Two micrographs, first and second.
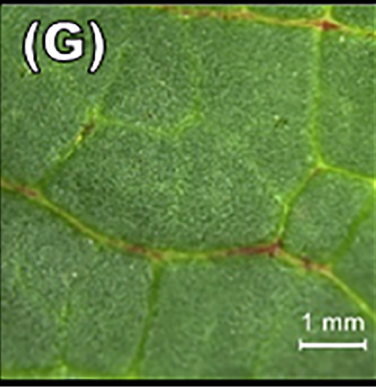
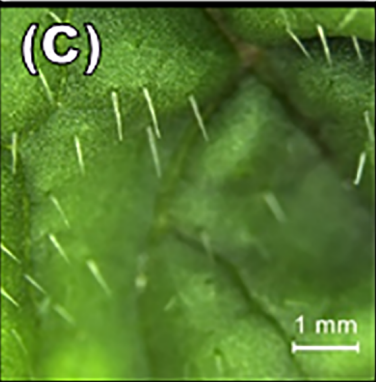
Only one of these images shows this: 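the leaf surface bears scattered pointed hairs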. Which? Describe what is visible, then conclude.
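First image: the leaf surface between the veins is finely granular with no projecting hairs. Second image: many thin, pale, needle-like hairs project from the leaf surface.
Conclusion: the second image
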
